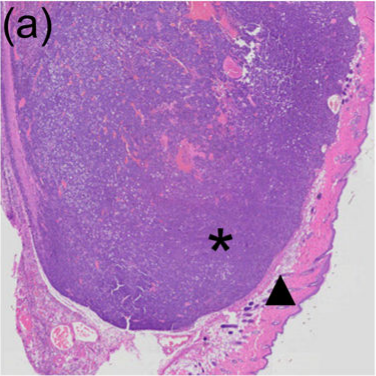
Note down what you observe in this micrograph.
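This is a low-power view of a solid tumor growing beneath the skin. Most of the section is a large, densely cellular mass stained deep purple, because the tightly packed tumor cells have many nuclei close together. The mass is fairly uniform, with a few lighter, streaky areas and small pink spots. Along its right and lower edge runs a thin band of pink connective tissue and skin, in which a few dark purple, elongated hair follicles can be seen. The tumor is sharply separated from this pink rim, and no large pale, cell-poor zone is seen within it.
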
